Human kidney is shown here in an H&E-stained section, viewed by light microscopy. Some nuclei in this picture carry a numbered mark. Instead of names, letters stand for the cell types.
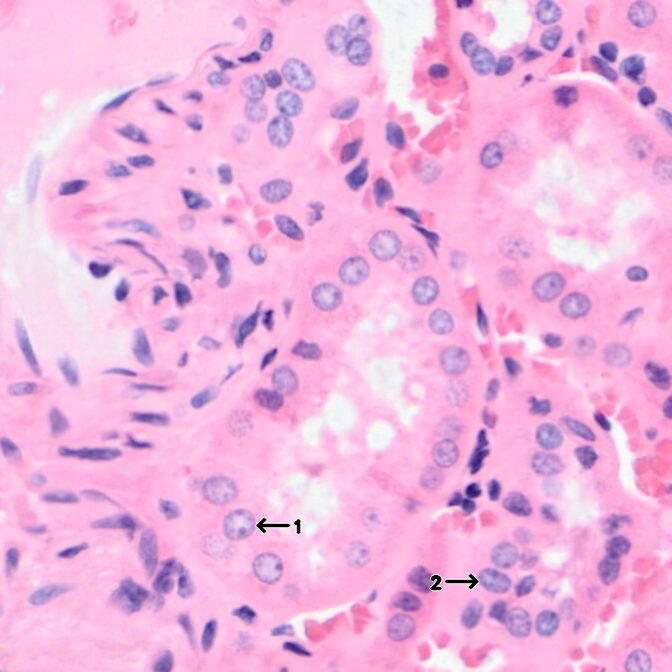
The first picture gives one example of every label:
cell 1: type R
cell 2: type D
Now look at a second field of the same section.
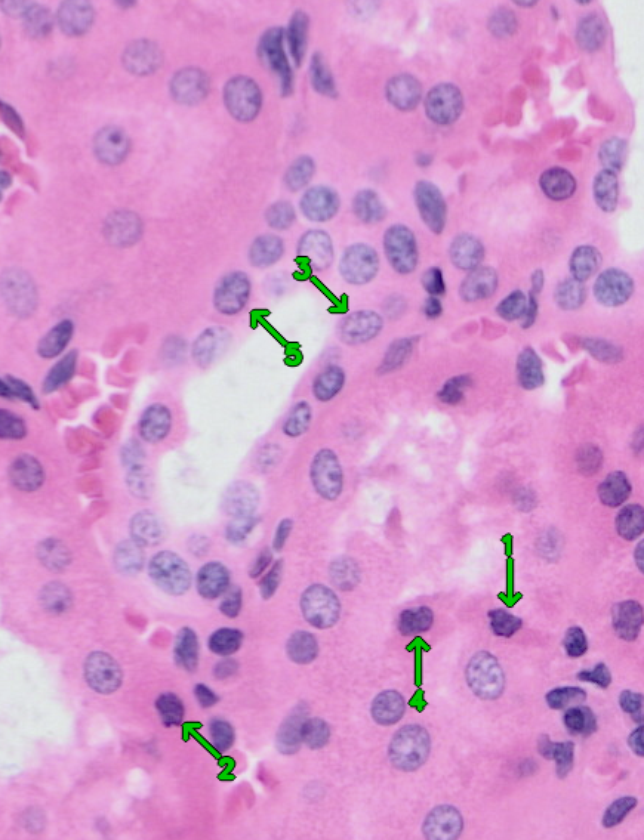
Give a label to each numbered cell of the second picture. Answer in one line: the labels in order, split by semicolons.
type R; type R; type D; type R; type D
